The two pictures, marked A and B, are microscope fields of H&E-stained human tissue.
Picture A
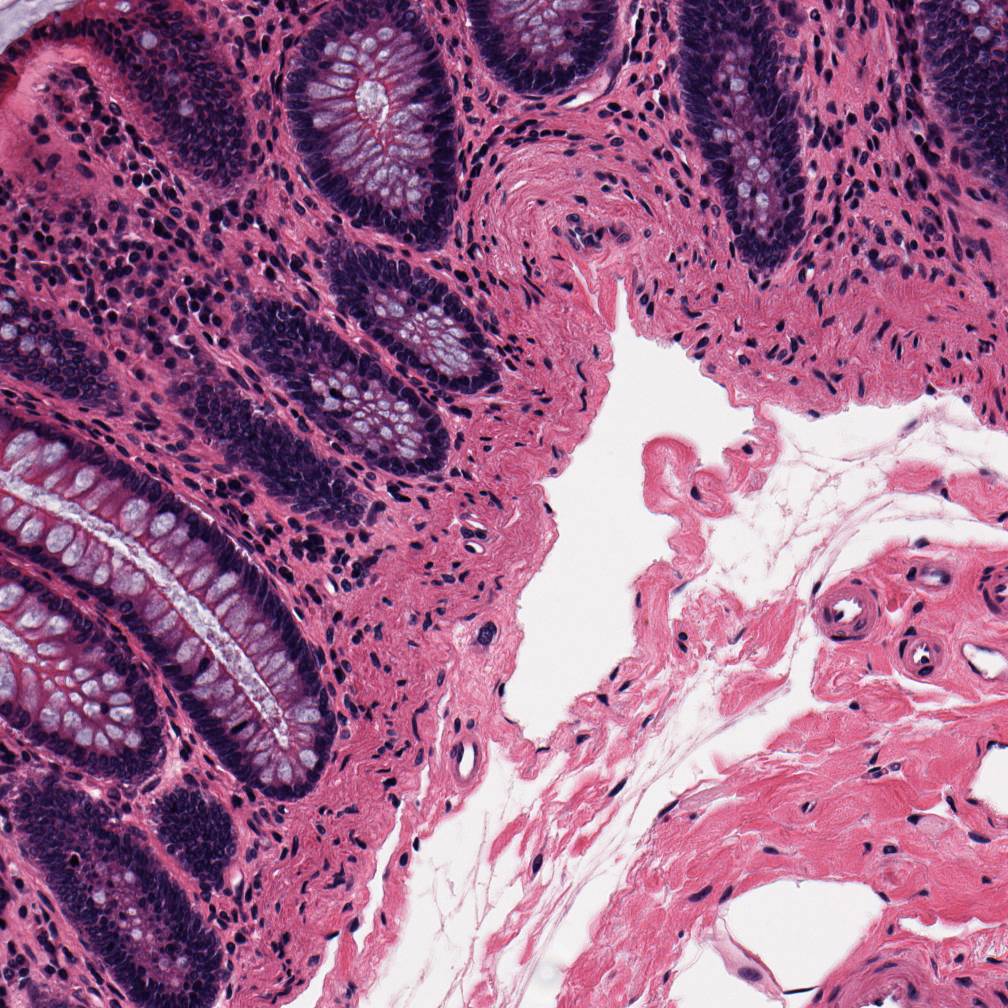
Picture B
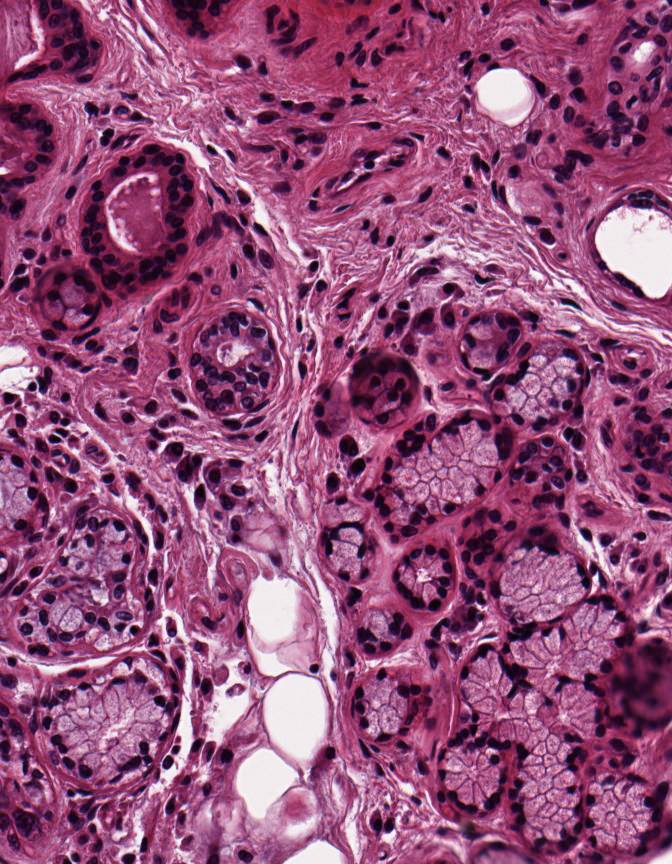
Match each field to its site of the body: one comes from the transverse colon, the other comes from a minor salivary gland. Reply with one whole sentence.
It is picture A that comes from the transverse colon, and picture B that comes from a minor salivary gland.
